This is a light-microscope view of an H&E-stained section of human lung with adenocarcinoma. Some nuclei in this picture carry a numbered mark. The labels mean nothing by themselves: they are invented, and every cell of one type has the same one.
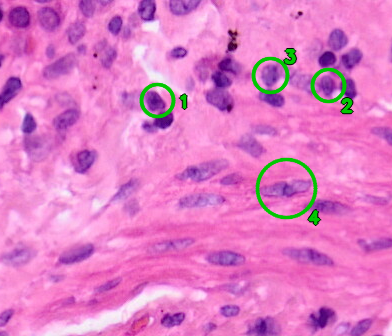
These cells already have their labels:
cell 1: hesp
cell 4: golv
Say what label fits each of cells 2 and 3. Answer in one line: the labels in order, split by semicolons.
hesp; hesp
